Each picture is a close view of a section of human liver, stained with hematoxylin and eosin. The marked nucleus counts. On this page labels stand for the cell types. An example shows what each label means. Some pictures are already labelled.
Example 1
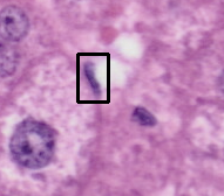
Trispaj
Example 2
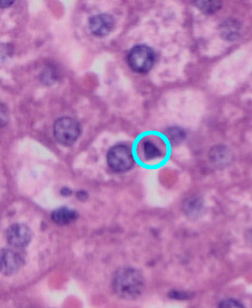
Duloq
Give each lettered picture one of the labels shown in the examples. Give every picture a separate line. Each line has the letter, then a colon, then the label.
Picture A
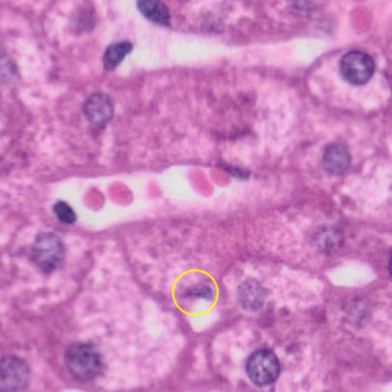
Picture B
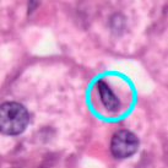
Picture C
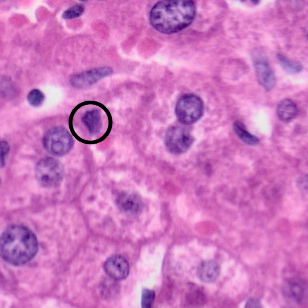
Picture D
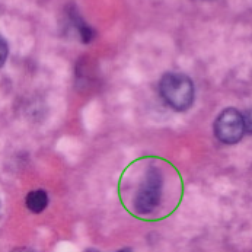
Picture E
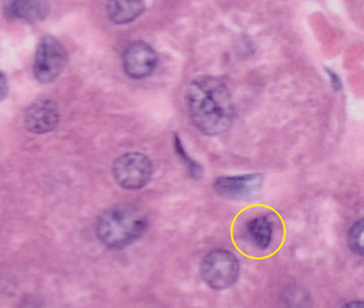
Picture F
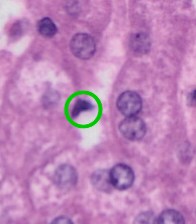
A: Trispaj
B: Duloq
C: Duloq
D: Duloq
E: Duloq
F: Trispaj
